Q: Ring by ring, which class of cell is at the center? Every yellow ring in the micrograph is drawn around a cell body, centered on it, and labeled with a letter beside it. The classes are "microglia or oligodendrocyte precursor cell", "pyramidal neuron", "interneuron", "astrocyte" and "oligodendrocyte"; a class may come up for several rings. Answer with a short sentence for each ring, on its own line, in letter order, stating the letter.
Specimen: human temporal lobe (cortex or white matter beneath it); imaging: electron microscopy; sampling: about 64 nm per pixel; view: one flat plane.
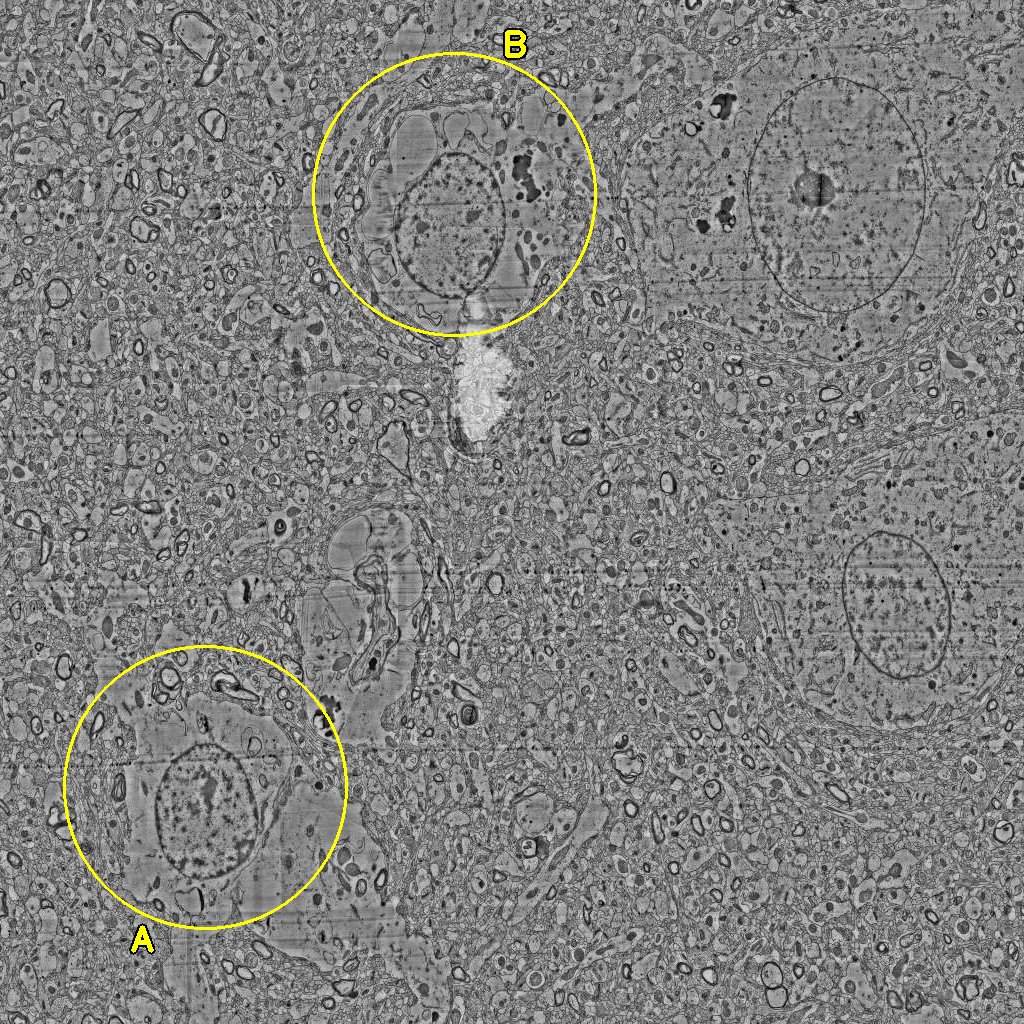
Ring A holds an astrocyte at its center.
Ring B holds an astrocyte at its center.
